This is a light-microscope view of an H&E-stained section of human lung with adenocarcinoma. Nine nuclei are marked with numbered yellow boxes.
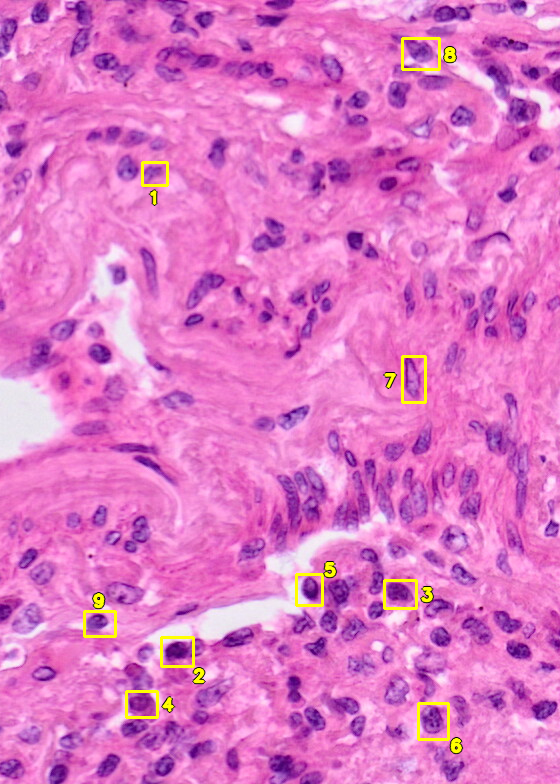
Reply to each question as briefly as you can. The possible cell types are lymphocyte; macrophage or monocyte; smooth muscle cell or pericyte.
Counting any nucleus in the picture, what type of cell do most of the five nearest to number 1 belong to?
smooth muscle cell or pericyte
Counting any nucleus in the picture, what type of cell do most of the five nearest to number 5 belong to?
lymphocyte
